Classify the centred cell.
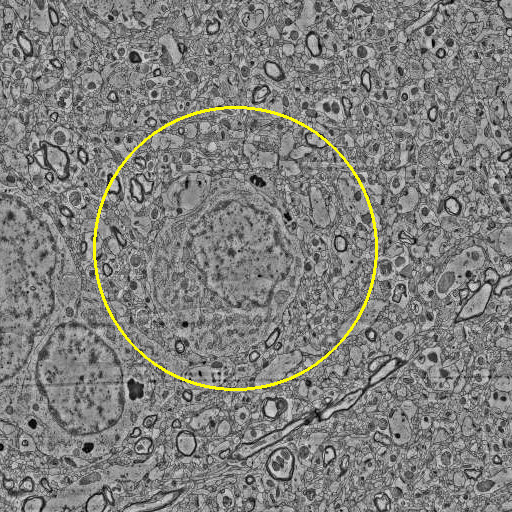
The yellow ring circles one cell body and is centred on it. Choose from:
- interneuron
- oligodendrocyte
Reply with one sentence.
The ring is centred on an interneuron.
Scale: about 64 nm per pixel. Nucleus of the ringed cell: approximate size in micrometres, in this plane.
In this plane the nucleus measures roughly 7 micrometres across.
